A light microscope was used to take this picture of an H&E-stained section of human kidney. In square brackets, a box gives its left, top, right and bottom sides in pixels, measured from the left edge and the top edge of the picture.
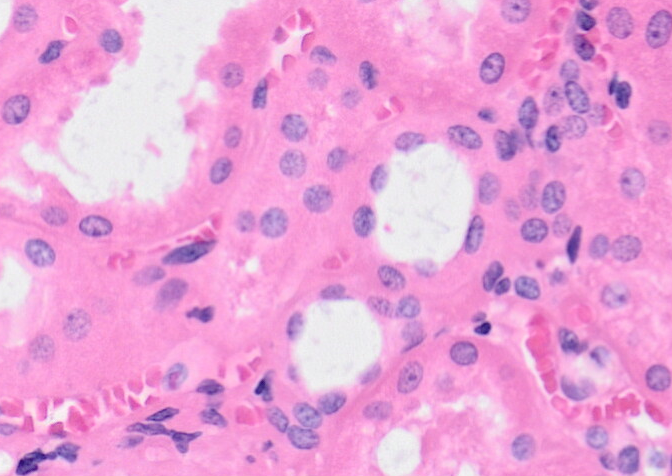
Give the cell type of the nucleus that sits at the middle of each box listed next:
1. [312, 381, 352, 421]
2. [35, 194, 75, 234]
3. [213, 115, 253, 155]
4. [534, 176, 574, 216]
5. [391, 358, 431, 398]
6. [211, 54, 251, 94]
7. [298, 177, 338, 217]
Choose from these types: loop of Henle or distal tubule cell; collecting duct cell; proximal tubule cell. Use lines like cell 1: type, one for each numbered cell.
cell 1: collecting duct cell
cell 2: proximal tubule cell
cell 3: proximal tubule cell
cell 4: collecting duct cell
cell 5: proximal tubule cell
cell 6: proximal tubule cell
cell 7: loop of Henle or distal tubule cell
